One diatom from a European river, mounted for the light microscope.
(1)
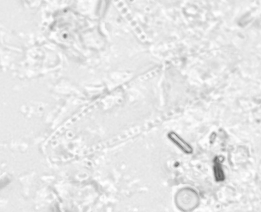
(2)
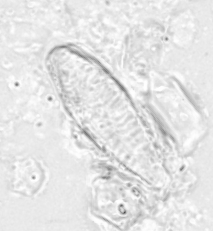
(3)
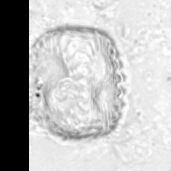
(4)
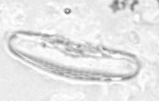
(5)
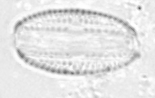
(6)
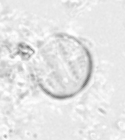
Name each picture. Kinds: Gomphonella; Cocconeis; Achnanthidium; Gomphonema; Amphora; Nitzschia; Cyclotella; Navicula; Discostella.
Picture 1: Nitzschia
Picture 2: Gomphonema
Picture 3: Cyclotella
Picture 4: Achnanthidium
Picture 5: Amphora
Picture 6: Amphora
